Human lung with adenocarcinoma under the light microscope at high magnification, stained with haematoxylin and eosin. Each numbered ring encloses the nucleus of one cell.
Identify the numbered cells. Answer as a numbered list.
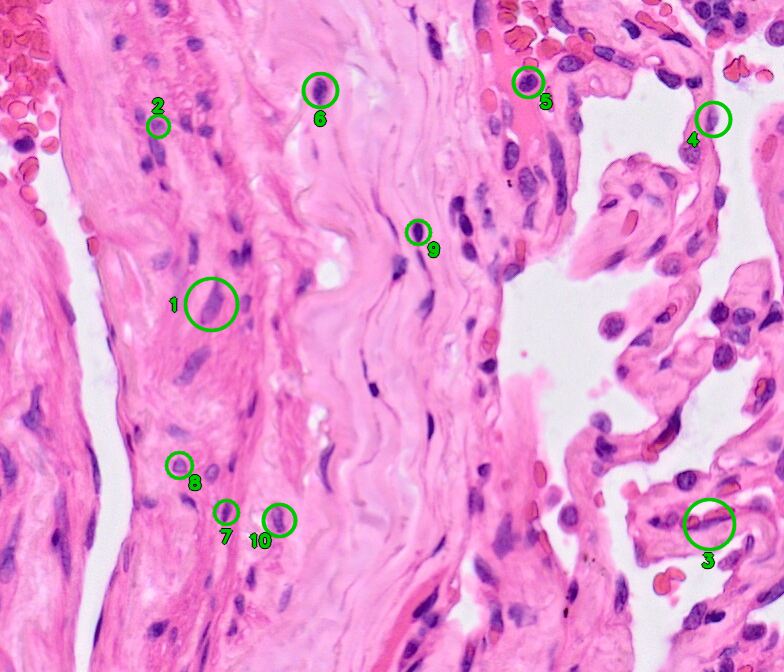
1. smooth muscle cell or pericyte
2. smooth muscle cell or pericyte
3. endothelial cell
4. type I pneumocyte
5. lymphocyte
6. mast cell
7. smooth muscle cell or pericyte
8. smooth muscle cell or pericyte
9. mast cell
10. smooth muscle cell or pericyte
